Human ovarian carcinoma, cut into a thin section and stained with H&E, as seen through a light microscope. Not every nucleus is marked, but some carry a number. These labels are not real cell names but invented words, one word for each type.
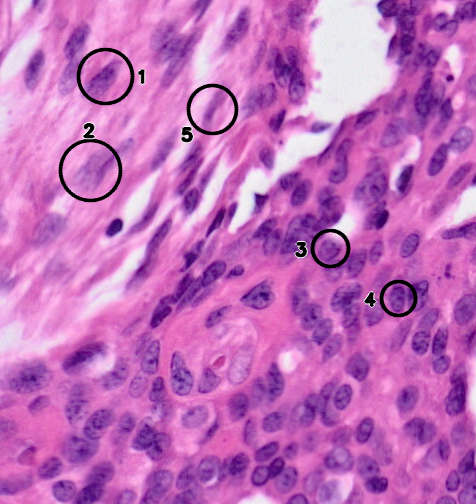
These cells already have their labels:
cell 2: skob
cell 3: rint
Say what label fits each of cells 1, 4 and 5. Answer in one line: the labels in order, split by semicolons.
skob; rint; skob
